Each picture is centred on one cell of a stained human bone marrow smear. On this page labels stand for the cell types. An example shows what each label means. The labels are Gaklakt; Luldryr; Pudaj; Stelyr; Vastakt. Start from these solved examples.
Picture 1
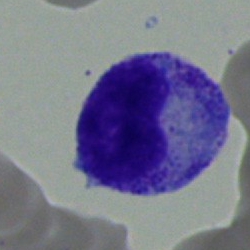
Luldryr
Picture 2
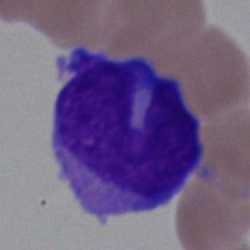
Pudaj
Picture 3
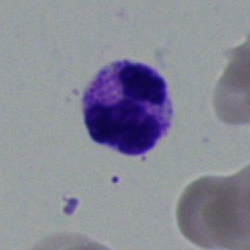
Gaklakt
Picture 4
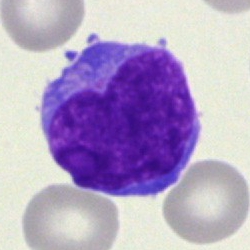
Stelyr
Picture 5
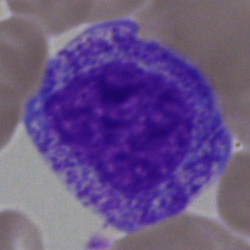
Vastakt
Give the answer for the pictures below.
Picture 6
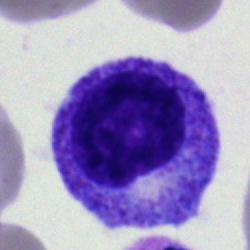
Vastakt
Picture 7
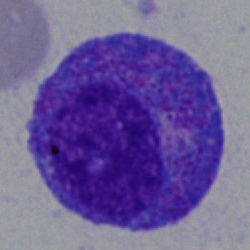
Vastakt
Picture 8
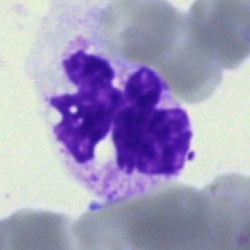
Gaklakt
